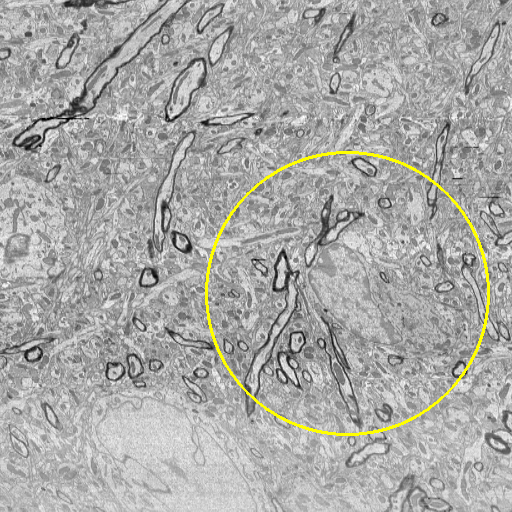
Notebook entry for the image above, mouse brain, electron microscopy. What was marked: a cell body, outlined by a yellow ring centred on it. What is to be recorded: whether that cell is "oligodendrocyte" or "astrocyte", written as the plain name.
oligodendrocyte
